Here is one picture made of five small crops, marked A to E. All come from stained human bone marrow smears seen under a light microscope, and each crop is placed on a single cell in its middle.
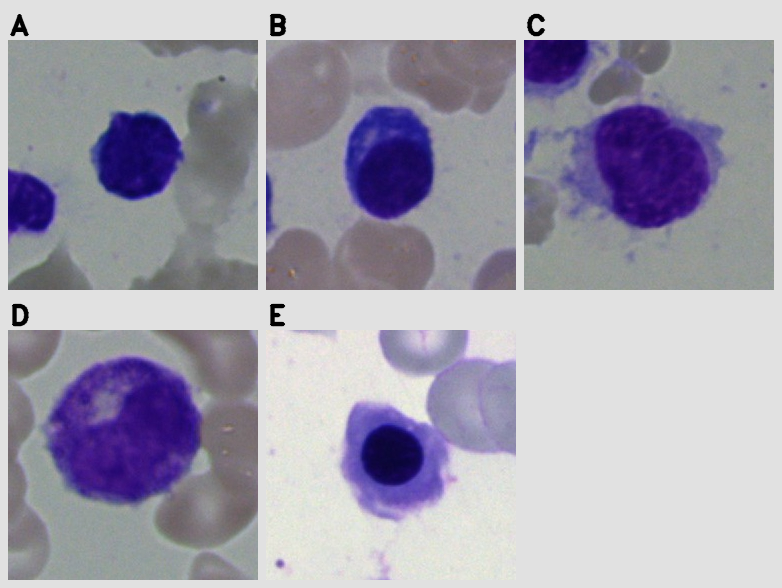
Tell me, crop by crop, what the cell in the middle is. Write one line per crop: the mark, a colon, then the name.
A: lymphocyte
B: plasma cell
C: hairy cell
D: metamyelocyte
E: erythroblast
